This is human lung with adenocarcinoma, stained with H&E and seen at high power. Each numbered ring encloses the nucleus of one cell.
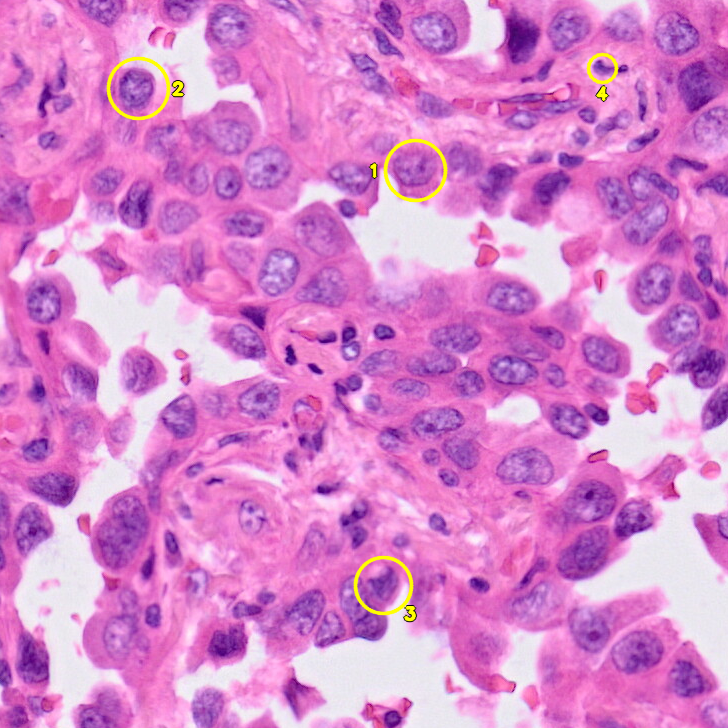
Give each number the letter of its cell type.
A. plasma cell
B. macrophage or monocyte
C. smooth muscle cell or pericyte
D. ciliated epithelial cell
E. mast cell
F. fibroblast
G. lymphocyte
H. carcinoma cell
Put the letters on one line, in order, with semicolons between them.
H; H; H; G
